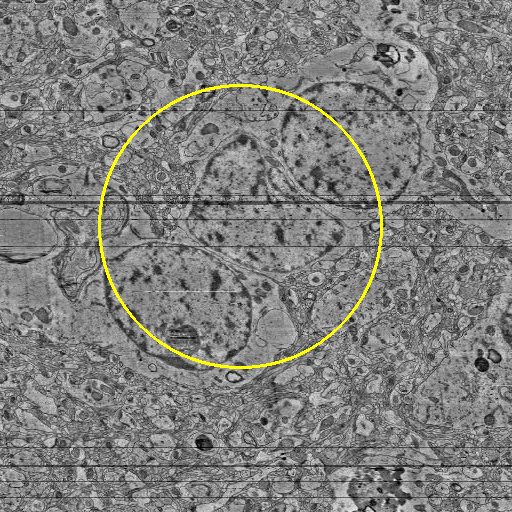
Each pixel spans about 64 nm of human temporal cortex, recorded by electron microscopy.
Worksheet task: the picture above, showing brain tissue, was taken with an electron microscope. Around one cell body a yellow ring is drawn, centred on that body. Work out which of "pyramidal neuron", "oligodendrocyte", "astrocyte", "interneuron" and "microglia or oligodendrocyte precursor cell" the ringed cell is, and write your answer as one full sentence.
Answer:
It is a microglial cell or oligodendrocyte precursor cell whose cell body lies at the centre of the yellow ring.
